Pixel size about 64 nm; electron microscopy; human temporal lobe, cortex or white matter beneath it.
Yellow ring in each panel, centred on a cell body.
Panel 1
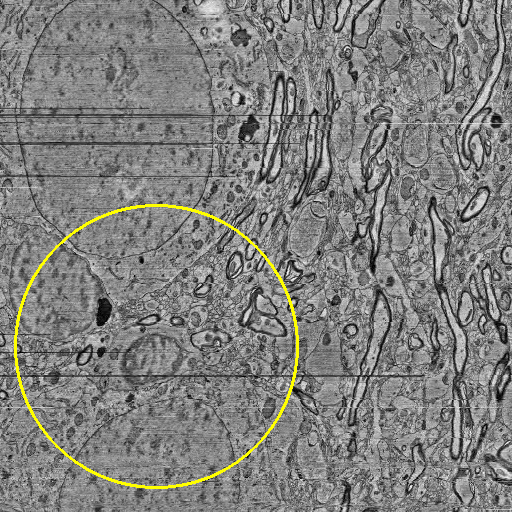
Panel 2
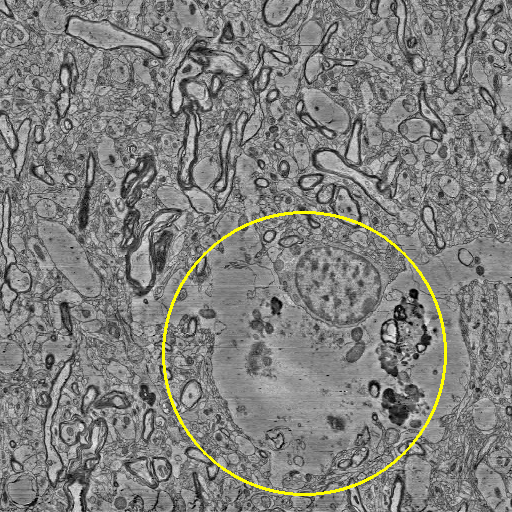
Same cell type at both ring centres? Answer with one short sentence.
No, the two cells are of two types.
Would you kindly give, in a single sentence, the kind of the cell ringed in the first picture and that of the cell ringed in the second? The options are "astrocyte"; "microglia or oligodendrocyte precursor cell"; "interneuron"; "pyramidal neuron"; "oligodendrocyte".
The second cell is an astrocyte, and the first cell is an oligodendrocyte.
